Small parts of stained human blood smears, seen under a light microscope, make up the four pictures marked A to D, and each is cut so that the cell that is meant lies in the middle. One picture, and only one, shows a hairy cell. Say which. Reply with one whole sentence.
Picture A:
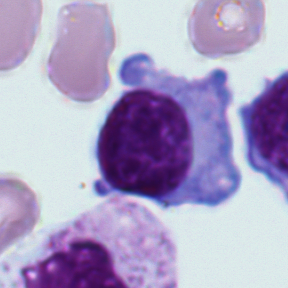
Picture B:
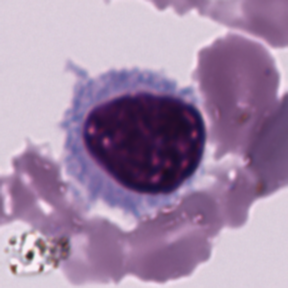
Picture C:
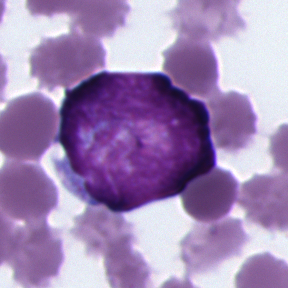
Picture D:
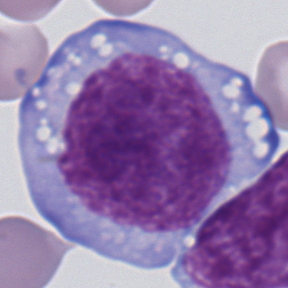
Picture B is the one that shows the hairy cell.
